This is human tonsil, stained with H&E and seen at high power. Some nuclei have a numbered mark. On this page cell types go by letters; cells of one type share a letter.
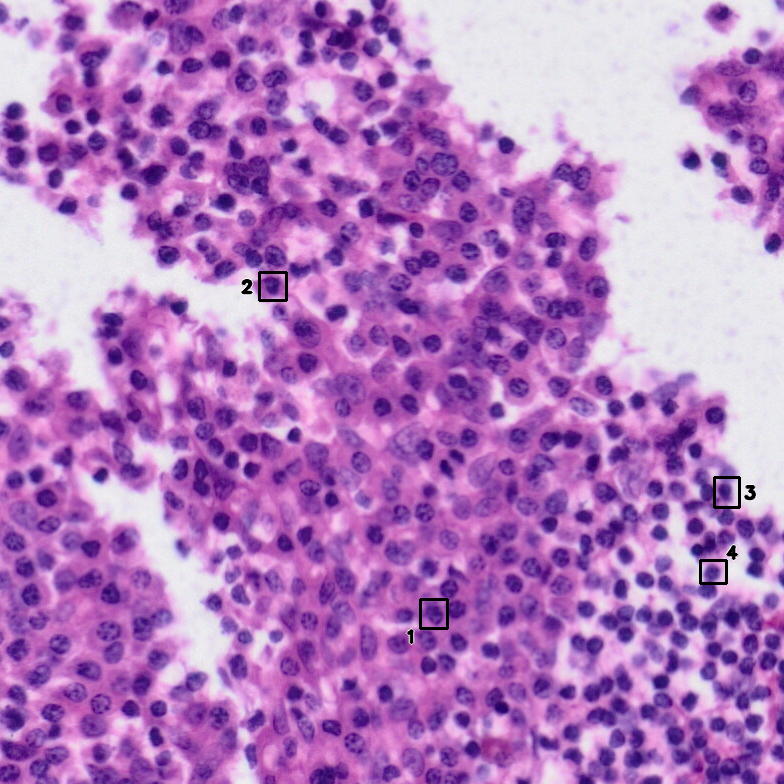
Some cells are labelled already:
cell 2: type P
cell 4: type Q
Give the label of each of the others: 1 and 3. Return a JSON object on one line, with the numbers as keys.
{"1": "type P", "3": "type Q"}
